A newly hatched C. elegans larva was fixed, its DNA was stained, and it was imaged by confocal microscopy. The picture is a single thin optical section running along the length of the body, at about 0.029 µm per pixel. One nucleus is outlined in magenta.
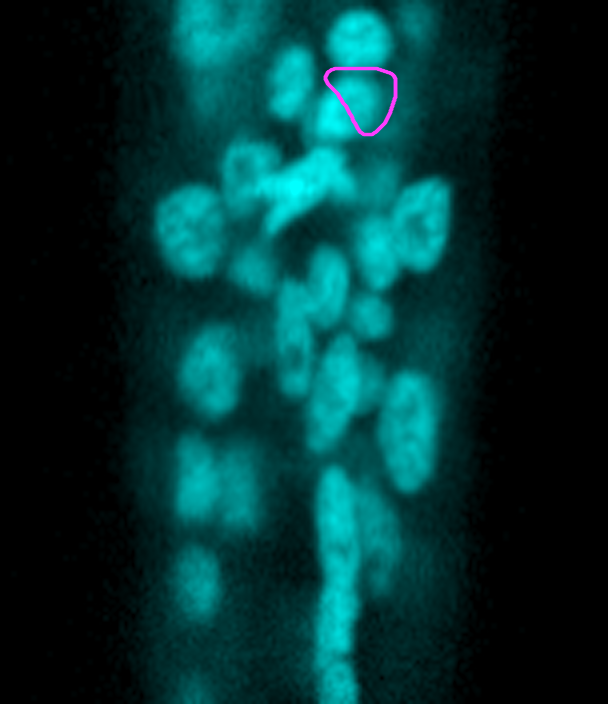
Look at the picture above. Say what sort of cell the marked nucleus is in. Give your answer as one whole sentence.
This is the nucleus of a neuron.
